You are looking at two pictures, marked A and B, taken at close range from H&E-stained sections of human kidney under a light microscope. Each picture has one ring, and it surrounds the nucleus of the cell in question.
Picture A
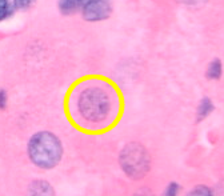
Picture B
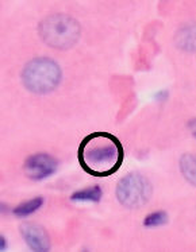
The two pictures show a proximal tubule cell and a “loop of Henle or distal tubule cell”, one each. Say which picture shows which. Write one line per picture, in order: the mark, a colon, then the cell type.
A: proximal tubule cell
B: loop of Henle or distal tubule cell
